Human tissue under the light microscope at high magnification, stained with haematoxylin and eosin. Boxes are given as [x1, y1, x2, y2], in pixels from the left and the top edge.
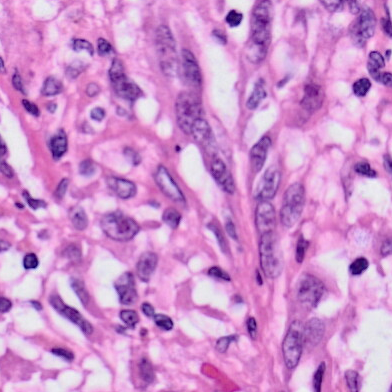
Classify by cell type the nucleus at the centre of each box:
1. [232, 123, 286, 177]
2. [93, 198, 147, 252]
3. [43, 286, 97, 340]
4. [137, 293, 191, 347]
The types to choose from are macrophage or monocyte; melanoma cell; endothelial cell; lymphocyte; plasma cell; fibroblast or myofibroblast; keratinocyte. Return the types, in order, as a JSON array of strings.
["melanoma cell", "melanoma cell", "melanoma cell", "lymphocyte"]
